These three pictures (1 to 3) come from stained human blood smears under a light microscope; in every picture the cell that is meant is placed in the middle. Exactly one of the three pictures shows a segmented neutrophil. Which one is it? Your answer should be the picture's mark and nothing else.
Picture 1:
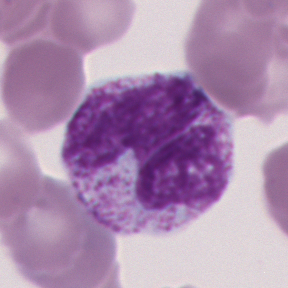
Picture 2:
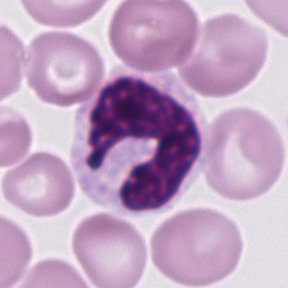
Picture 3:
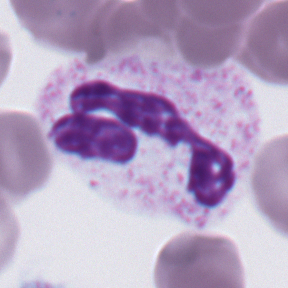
3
